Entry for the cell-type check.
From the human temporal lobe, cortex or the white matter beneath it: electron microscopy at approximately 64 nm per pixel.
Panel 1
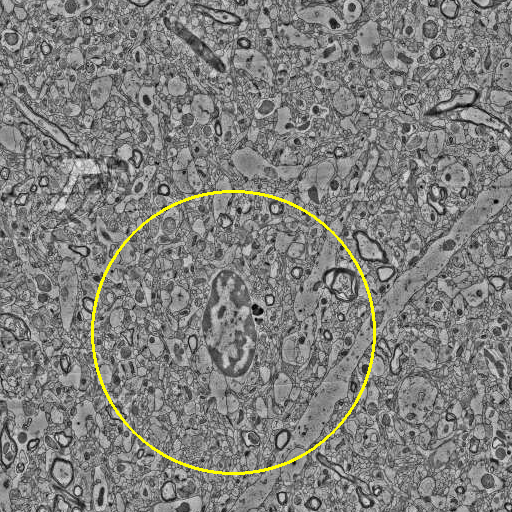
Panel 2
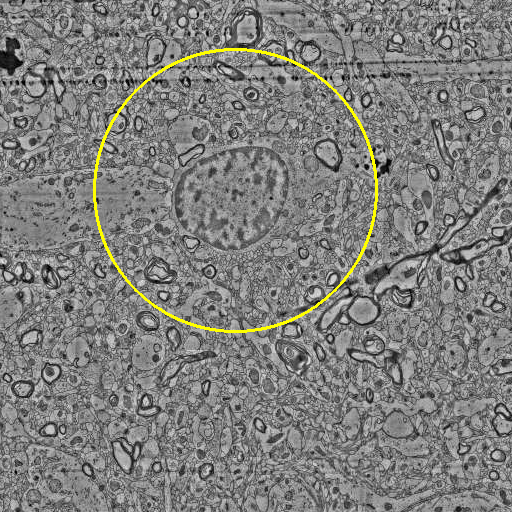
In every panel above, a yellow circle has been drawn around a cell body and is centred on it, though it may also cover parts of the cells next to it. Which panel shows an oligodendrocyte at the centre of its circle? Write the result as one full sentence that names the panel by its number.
Panel 2 shows it at the centre of its circle.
